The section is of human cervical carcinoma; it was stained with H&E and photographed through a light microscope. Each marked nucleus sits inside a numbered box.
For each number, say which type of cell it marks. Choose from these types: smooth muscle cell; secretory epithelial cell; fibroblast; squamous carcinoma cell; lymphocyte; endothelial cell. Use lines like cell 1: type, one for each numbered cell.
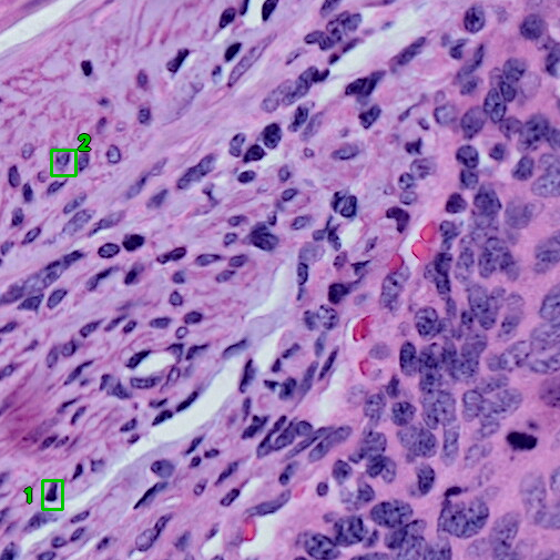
cell 1: lymphocyte
cell 2: smooth muscle cell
